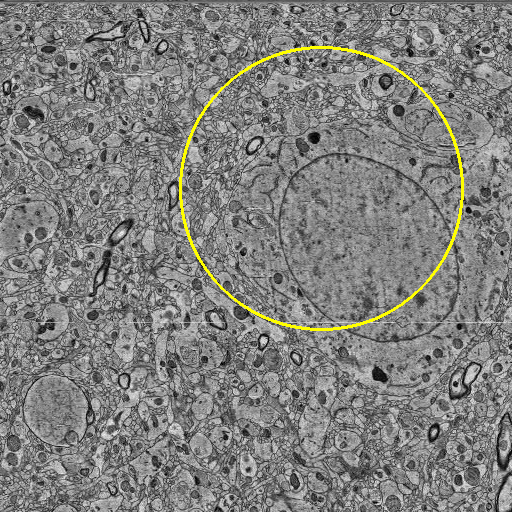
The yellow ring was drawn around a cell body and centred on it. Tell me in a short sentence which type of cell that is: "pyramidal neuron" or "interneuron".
The cell at the ring's centre is a pyramidal neuron.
